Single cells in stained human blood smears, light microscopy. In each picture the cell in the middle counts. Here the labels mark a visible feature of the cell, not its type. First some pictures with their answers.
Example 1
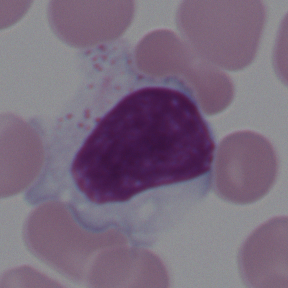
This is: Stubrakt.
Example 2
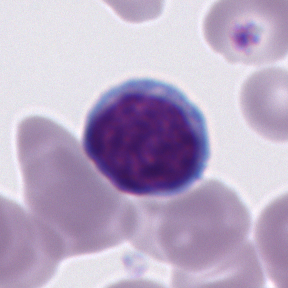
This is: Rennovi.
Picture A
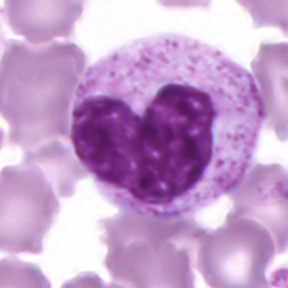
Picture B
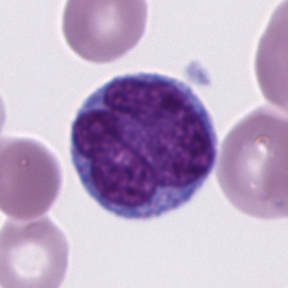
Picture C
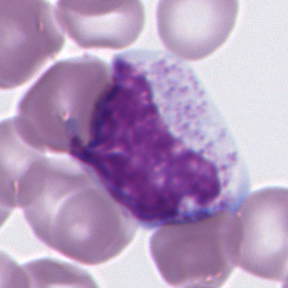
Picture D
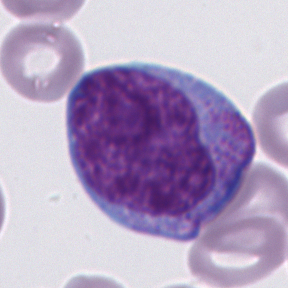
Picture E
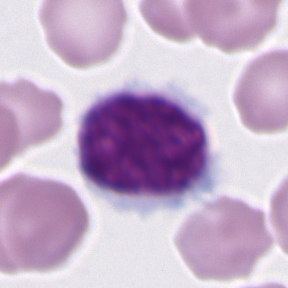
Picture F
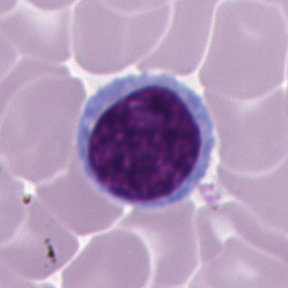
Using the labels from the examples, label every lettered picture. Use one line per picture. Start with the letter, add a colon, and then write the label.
A: Stubrakt.
B: Rennovi.
C: Rennovi.
D: Rennovi.
E: Rennovi.
F: Rennovi.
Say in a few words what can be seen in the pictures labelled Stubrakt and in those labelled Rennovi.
Stubrakt, abundant cytoplasm; Rennovi, scant cytoplasm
